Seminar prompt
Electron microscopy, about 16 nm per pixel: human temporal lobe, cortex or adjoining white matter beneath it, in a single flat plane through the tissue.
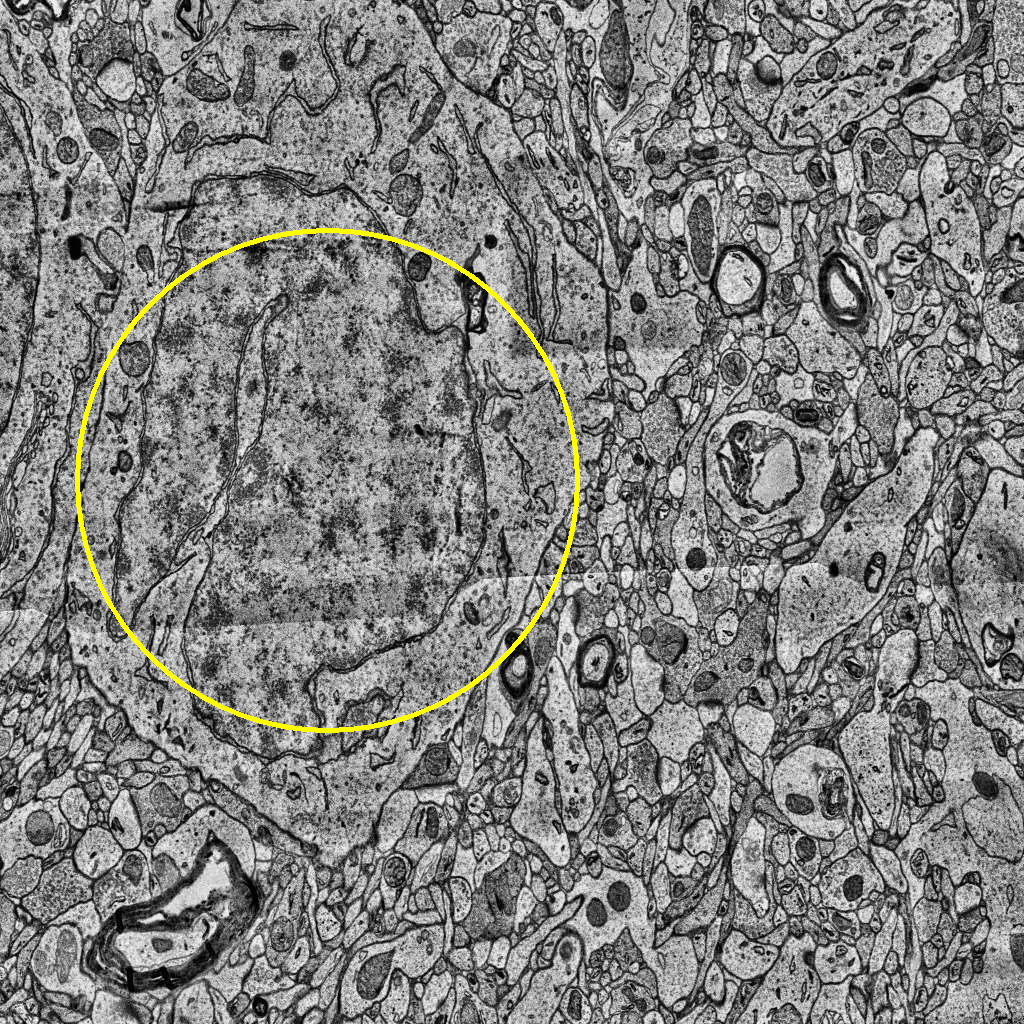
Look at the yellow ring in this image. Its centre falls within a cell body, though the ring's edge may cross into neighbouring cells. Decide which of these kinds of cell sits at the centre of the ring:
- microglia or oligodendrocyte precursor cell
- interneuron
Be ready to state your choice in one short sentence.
The kind of cell at the ring's centre is an interneuron.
